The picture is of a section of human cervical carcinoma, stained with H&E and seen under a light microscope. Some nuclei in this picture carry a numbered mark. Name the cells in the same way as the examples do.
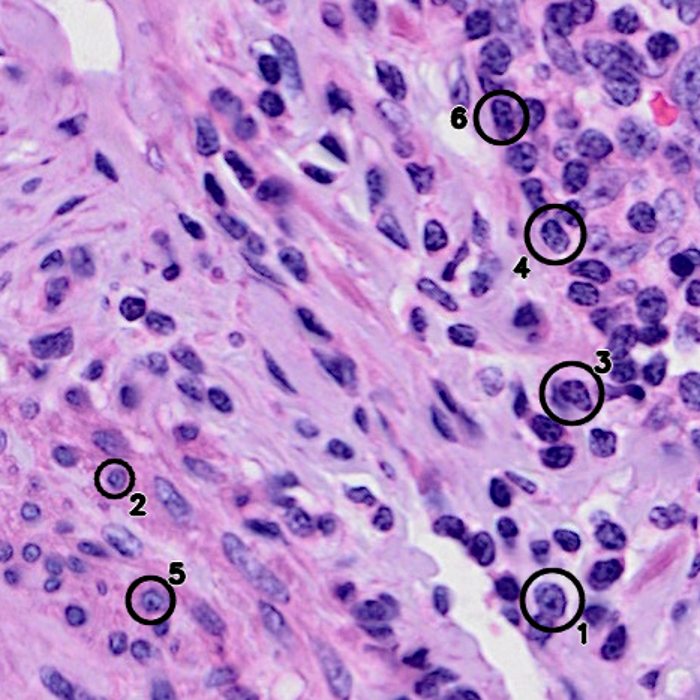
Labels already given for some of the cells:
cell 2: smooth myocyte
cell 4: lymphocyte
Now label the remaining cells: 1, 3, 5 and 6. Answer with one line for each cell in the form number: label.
1: lymphocyte
3: lymphocyte
5: smooth myocyte
6: lymphocyte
